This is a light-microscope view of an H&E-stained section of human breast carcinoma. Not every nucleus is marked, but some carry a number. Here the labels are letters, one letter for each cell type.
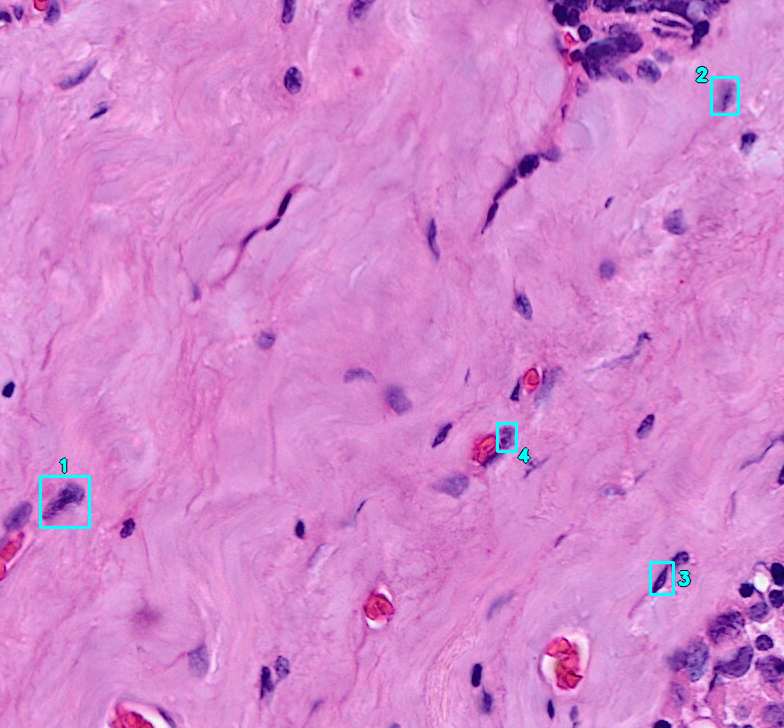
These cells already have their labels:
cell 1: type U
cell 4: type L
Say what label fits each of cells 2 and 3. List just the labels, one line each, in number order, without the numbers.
type U
type U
